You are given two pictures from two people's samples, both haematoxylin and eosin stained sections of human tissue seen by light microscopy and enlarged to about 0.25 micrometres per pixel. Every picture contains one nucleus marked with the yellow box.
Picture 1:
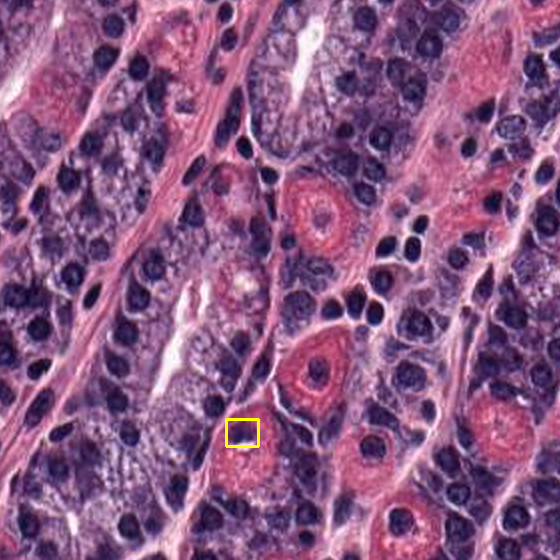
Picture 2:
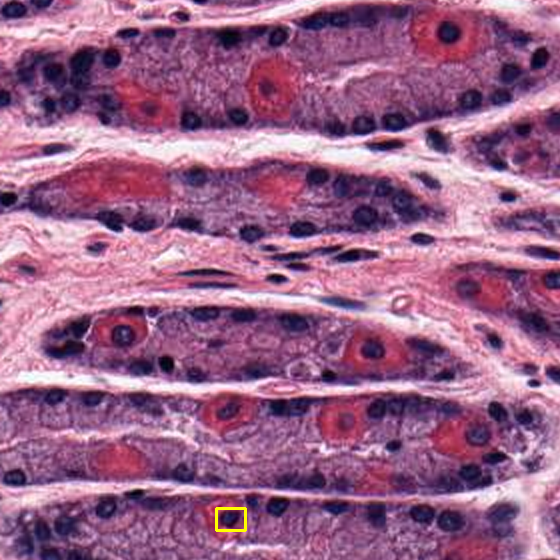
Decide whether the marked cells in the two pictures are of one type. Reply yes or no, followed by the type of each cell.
Yes, both are parietal cells.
